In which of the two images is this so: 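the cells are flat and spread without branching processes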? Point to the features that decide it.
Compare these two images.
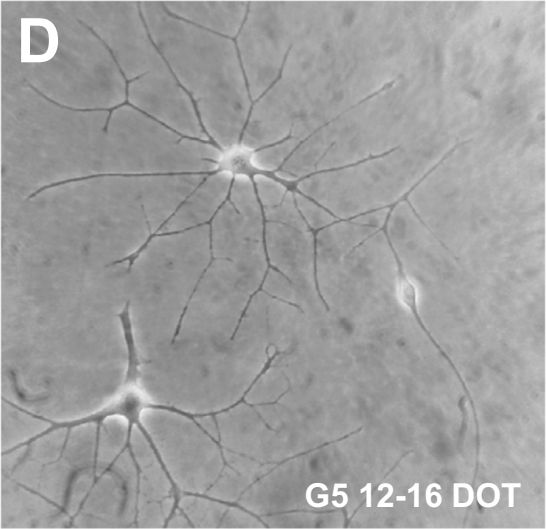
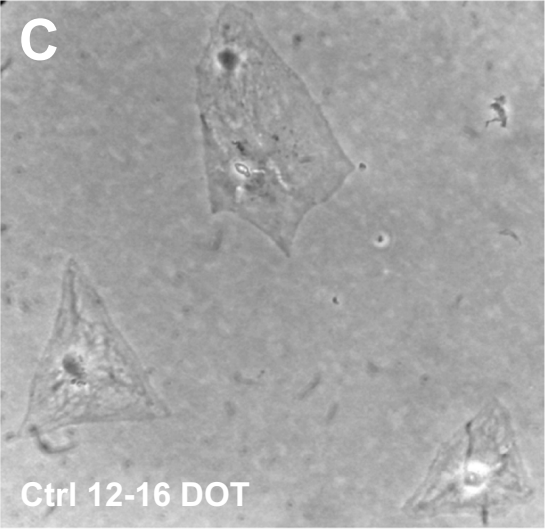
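First image: small rounded cell bodies with many long, branching processes radiating outward. Second image: large, thin, polygonal flat cells with no processes.
The second image.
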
